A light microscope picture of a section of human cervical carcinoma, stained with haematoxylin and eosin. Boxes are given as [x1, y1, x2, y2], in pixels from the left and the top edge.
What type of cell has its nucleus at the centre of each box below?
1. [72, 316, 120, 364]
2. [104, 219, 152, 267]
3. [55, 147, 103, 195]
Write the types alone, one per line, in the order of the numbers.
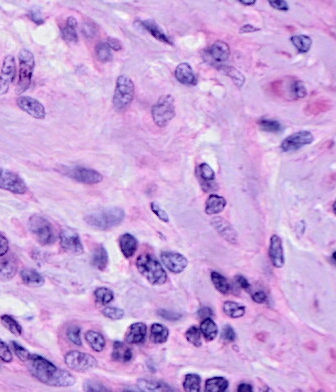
endothelial cell
lymphocyte
fibroblast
